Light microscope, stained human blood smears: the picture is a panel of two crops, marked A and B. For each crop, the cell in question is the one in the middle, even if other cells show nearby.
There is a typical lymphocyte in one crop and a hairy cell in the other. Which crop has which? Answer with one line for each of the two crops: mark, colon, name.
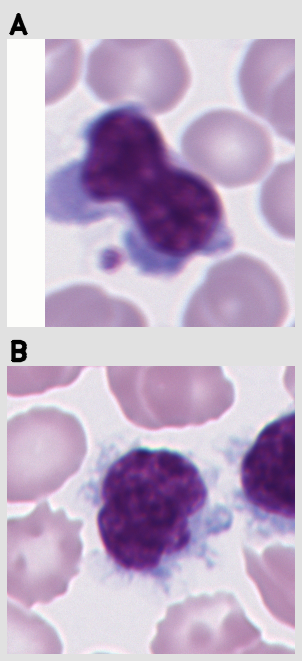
A: typical lymphocyte
B: hairy cell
